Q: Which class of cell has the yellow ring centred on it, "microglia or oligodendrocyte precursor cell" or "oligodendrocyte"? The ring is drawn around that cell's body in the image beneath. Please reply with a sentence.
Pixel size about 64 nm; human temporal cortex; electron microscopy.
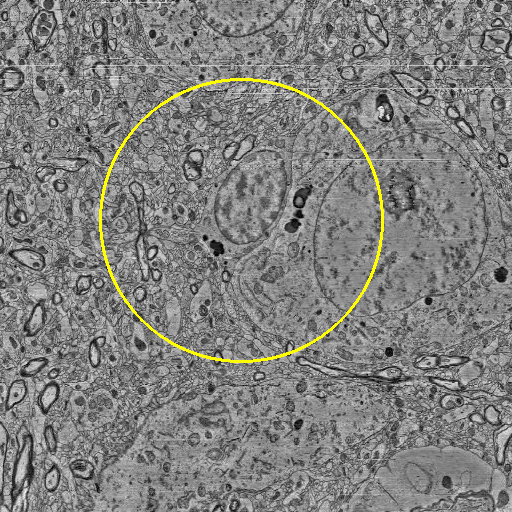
It is centred on an oligodendrocyte.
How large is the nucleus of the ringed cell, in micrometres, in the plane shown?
In this plane, about 7 by 4 micrometres: the nucleus is clearly longer than it is wide.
